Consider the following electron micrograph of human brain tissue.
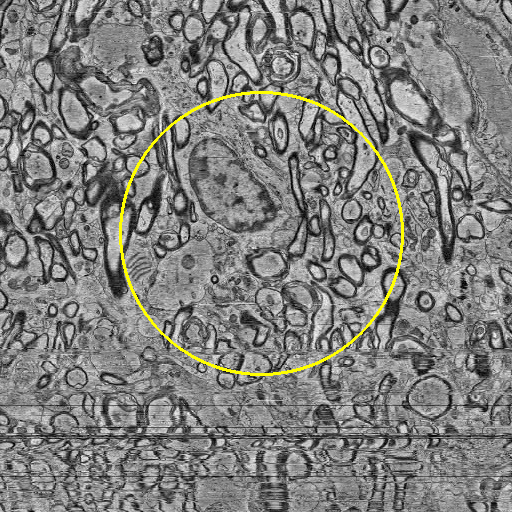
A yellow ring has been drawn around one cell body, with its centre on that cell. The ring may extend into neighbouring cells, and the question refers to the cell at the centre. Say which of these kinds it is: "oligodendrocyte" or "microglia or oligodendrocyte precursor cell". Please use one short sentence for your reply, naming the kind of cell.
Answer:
The centre of the ring falls on a microglial cell or oligodendrocyte precursor cell.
